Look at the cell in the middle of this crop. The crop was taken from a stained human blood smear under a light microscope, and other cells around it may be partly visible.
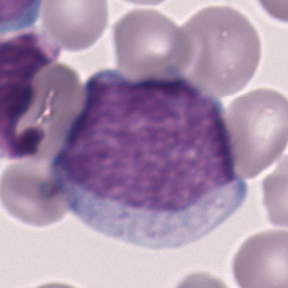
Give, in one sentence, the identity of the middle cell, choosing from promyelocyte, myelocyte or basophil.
The crop shows a promyelocyte in its centre.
